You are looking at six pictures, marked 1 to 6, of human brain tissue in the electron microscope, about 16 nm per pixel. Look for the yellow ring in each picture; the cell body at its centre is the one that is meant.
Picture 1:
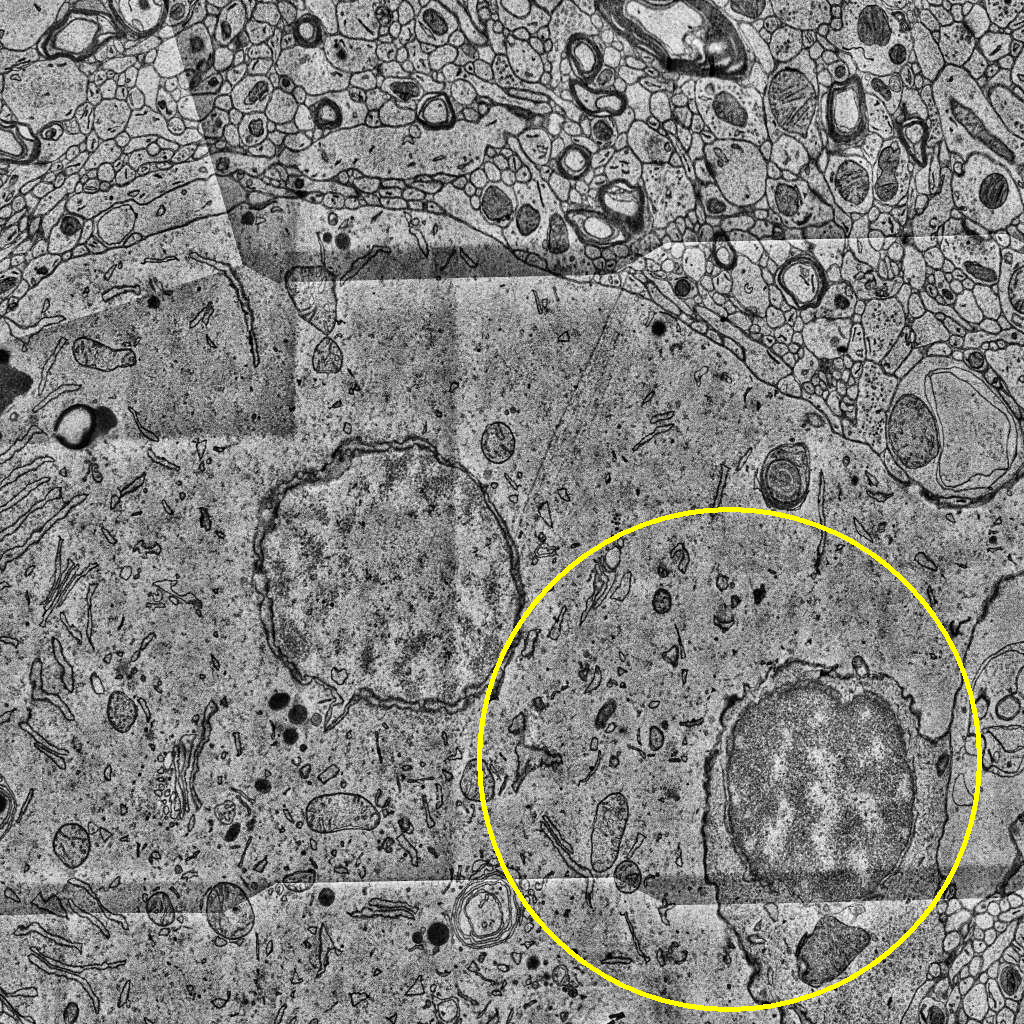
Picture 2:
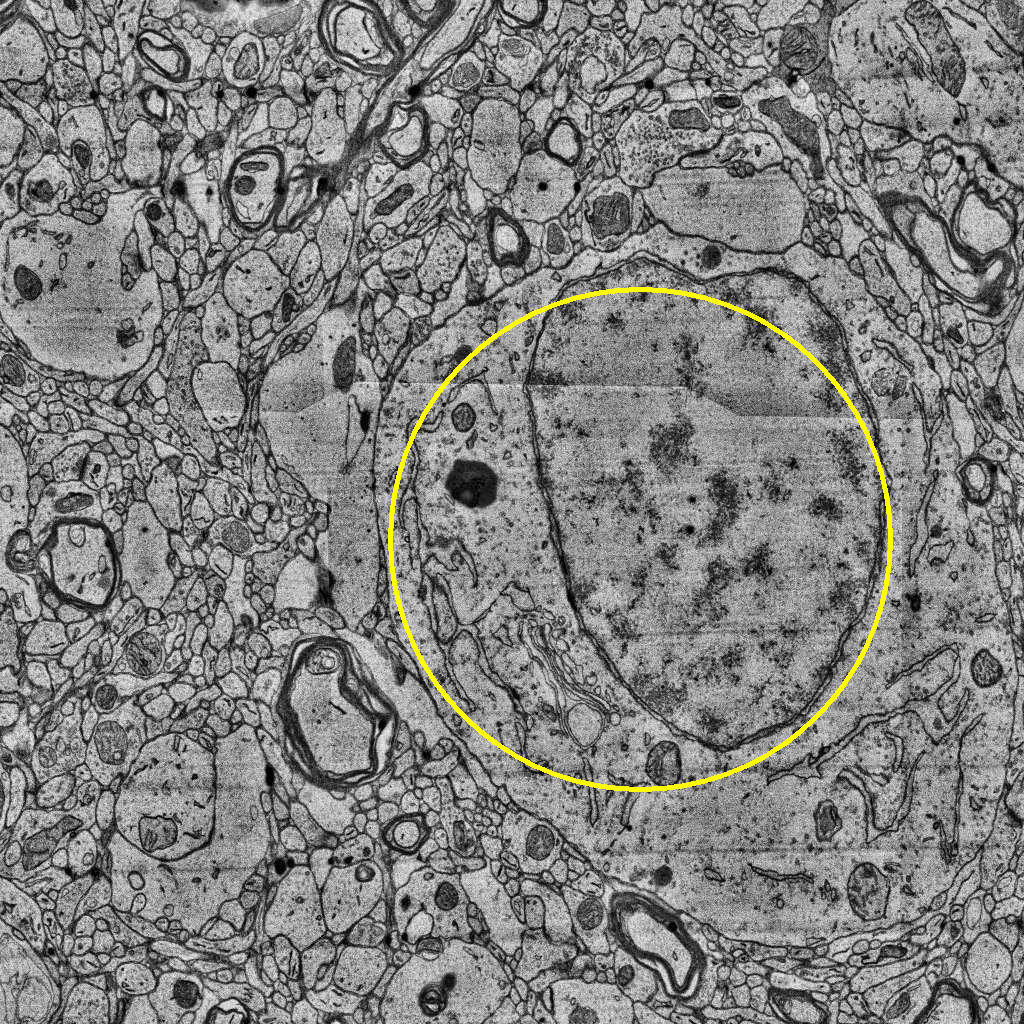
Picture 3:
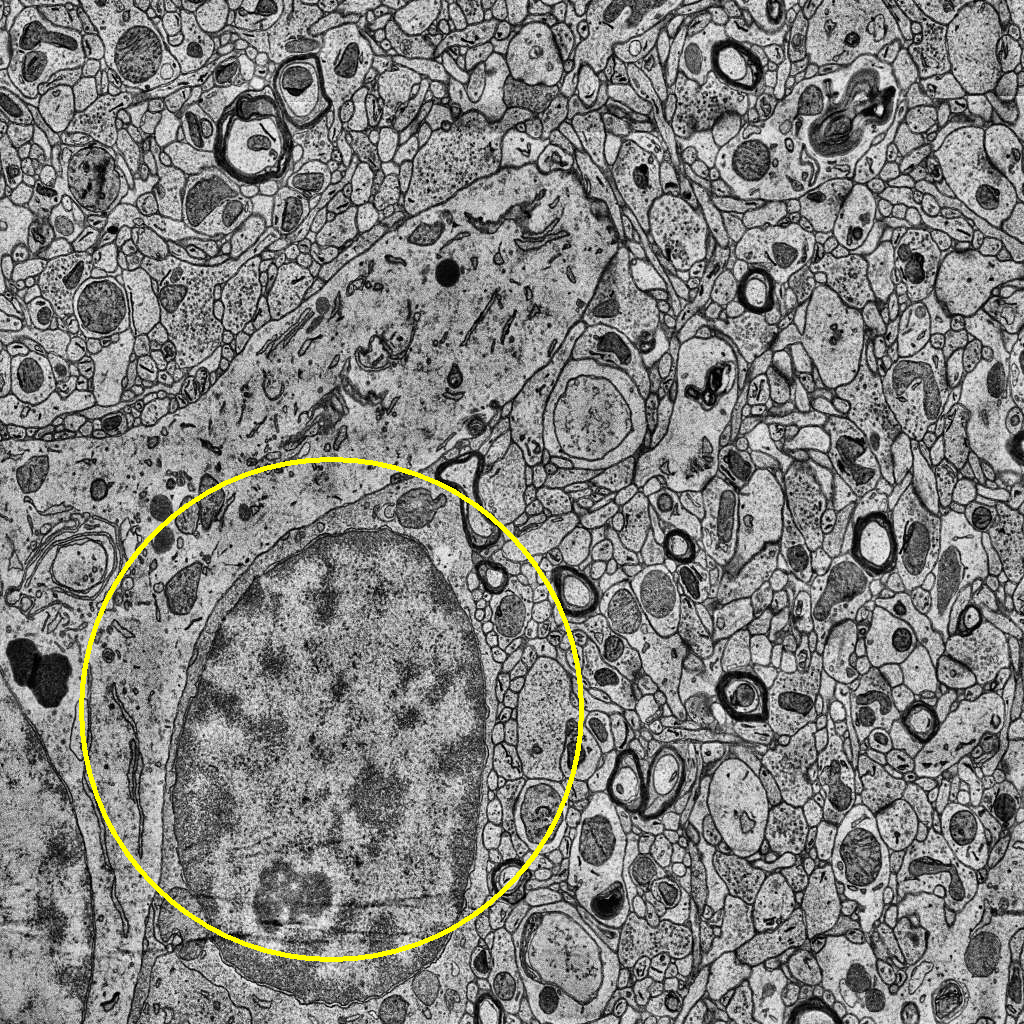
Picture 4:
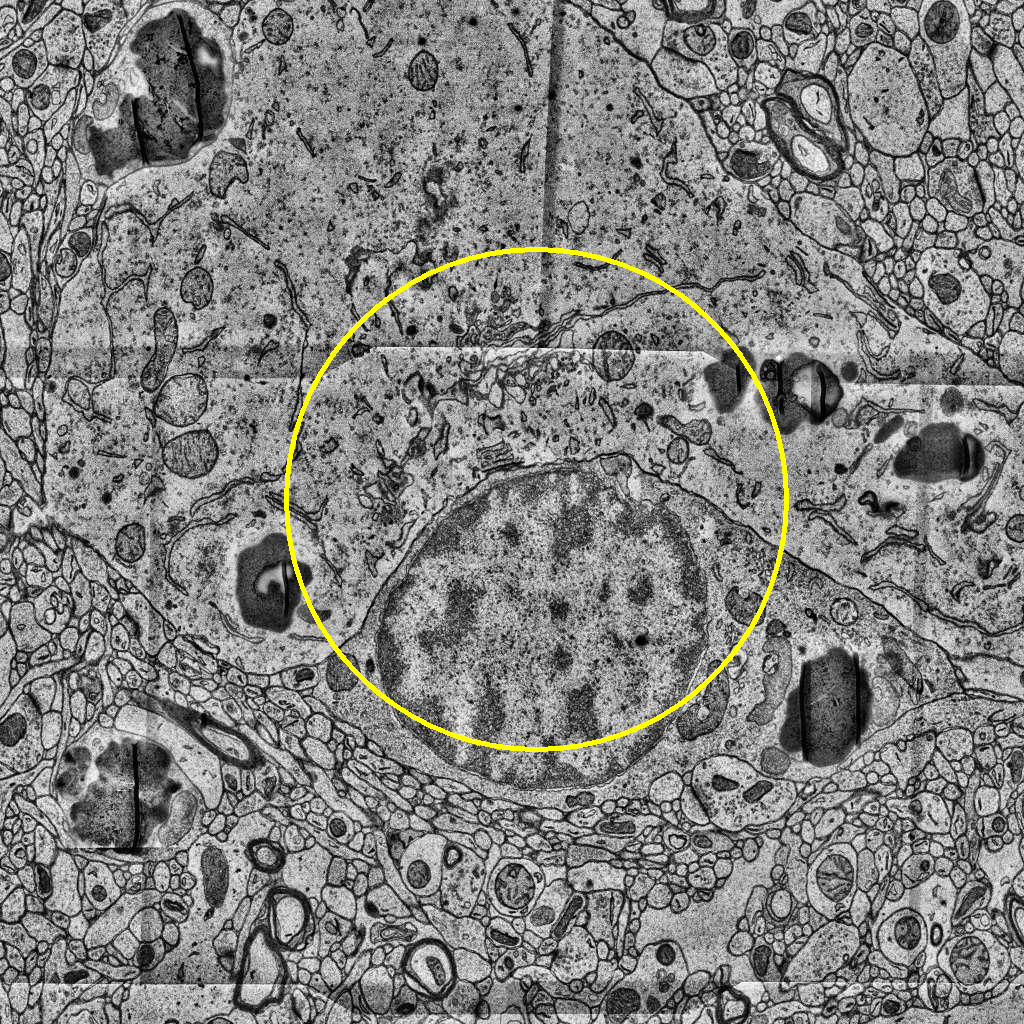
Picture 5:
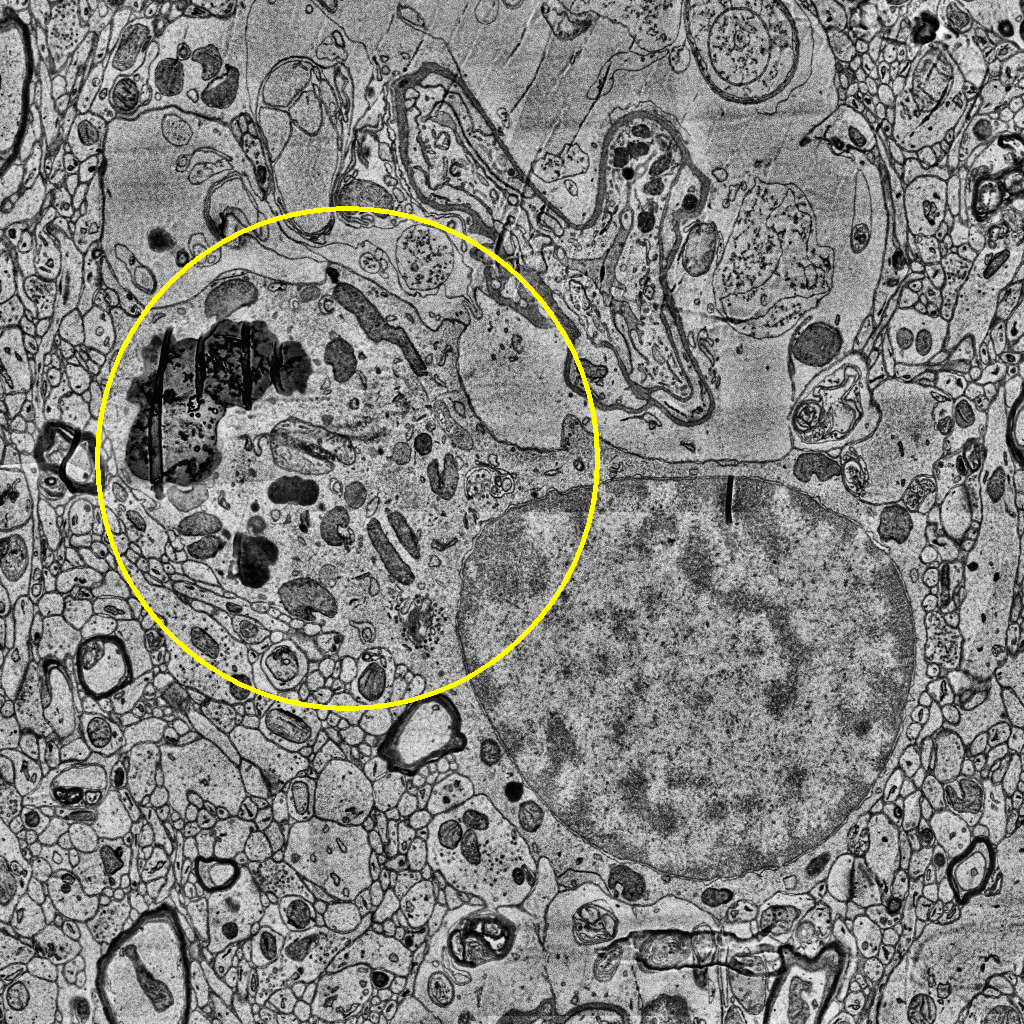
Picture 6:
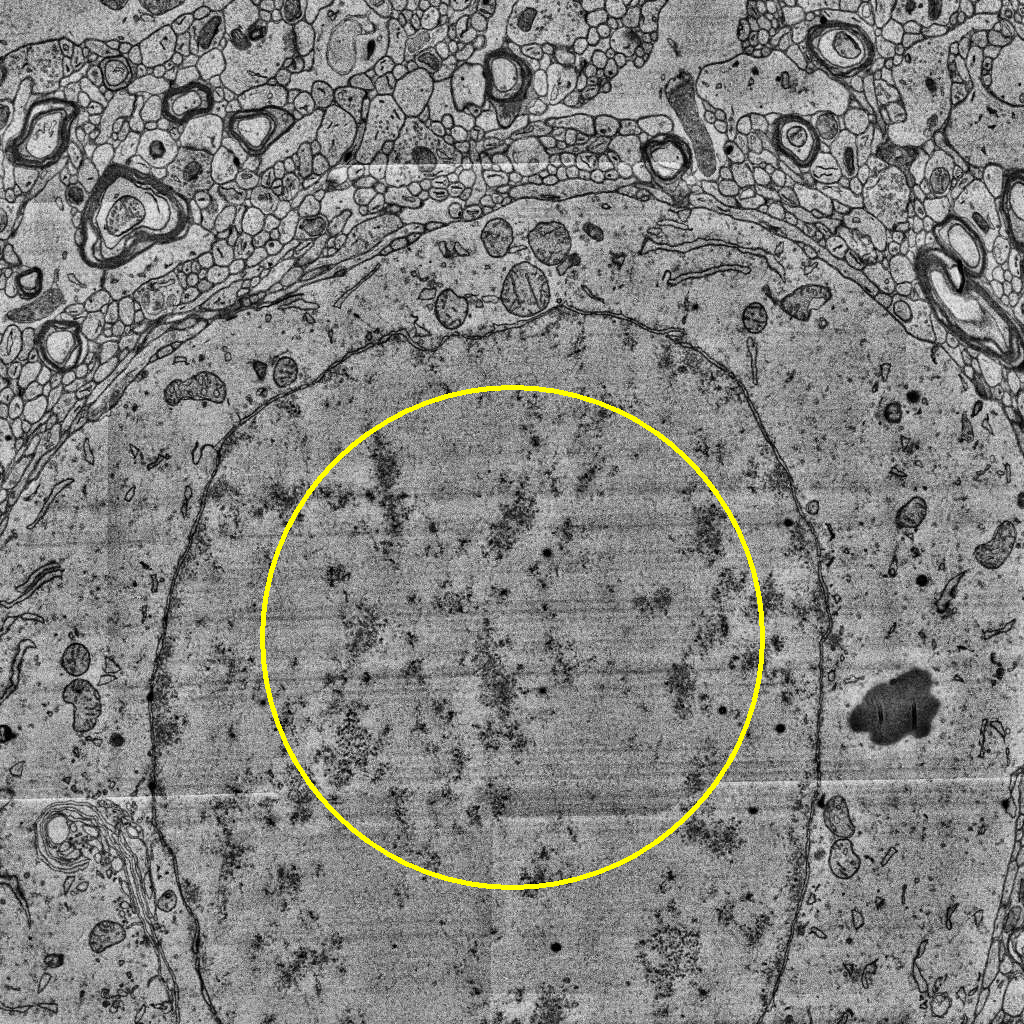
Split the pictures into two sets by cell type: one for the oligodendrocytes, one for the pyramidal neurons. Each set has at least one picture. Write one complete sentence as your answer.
Pictures 1, 3, 4 and 5 show oligodendrocytes; pictures 2 and 6 show pyramidal neurons.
